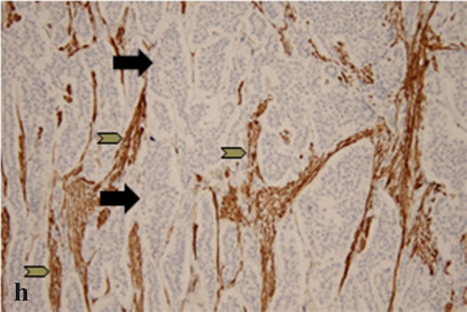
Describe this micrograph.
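The tumour nests are unstained, made of tightly packed cells with small round blue nuclei. Between them run branching strands of elongated spindle-shaped stromal cells stained strongly brown, thickening in places into broader bands.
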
